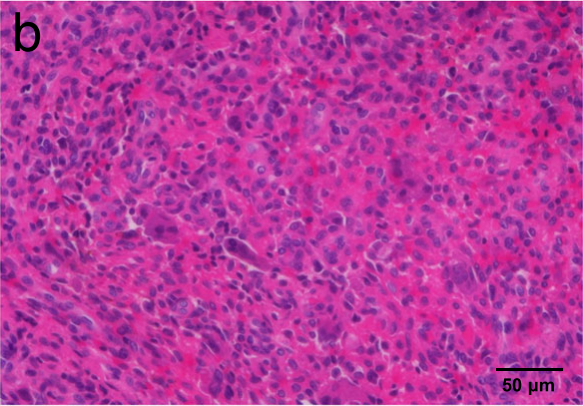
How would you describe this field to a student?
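A densely cellular mesenchymal tumor made of oval-shaped cells crowded in a fibrous background. The nuclei are oval to somewhat spindle-shaped and stain dark purple. The cells lie close together without clear layering or arrangement. Scattered larger cells with several nuclei, the osteoclast-like giant cells, lie among them. Between the cells are patches of bright red material from haemorrhage. The nuclei are fairly uniform, and no necrotic areas are seen in the field.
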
